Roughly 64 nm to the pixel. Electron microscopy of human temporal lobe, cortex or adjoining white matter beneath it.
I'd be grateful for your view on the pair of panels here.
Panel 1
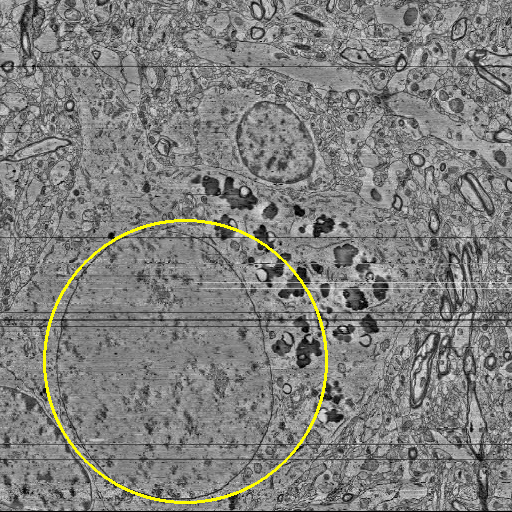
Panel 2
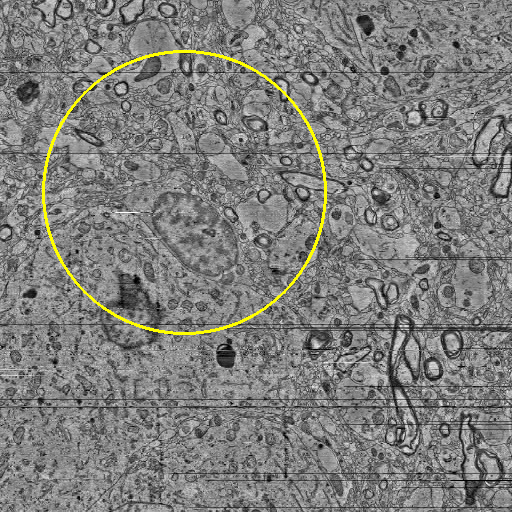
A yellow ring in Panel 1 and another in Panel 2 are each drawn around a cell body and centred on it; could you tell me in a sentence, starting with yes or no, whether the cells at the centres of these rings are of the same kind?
No, they are two kinds of cell.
